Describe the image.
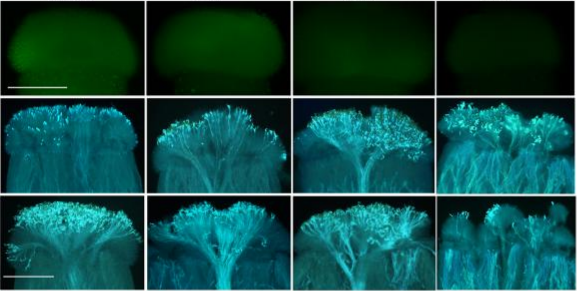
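The top row shows dome-shaped stigma heads glowing faintly green, the glow dimmer in some images than others. In the lower rows the stigma surface is covered with finger-like papillae in cyan, and in several images many thin bright threads, the pollen tubes, run from the surface down into the tissue in converging bundles, while in others only a sparse set of threads is seen.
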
